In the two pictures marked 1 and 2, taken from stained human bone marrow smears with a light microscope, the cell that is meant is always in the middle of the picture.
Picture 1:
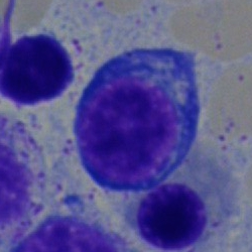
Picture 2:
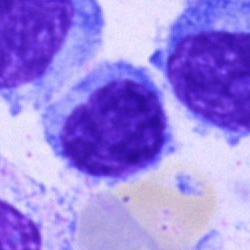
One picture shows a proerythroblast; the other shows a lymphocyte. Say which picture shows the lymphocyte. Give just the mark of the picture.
2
